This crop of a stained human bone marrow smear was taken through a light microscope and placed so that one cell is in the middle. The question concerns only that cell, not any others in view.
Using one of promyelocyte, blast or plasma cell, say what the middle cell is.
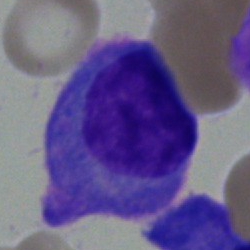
plasma cell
